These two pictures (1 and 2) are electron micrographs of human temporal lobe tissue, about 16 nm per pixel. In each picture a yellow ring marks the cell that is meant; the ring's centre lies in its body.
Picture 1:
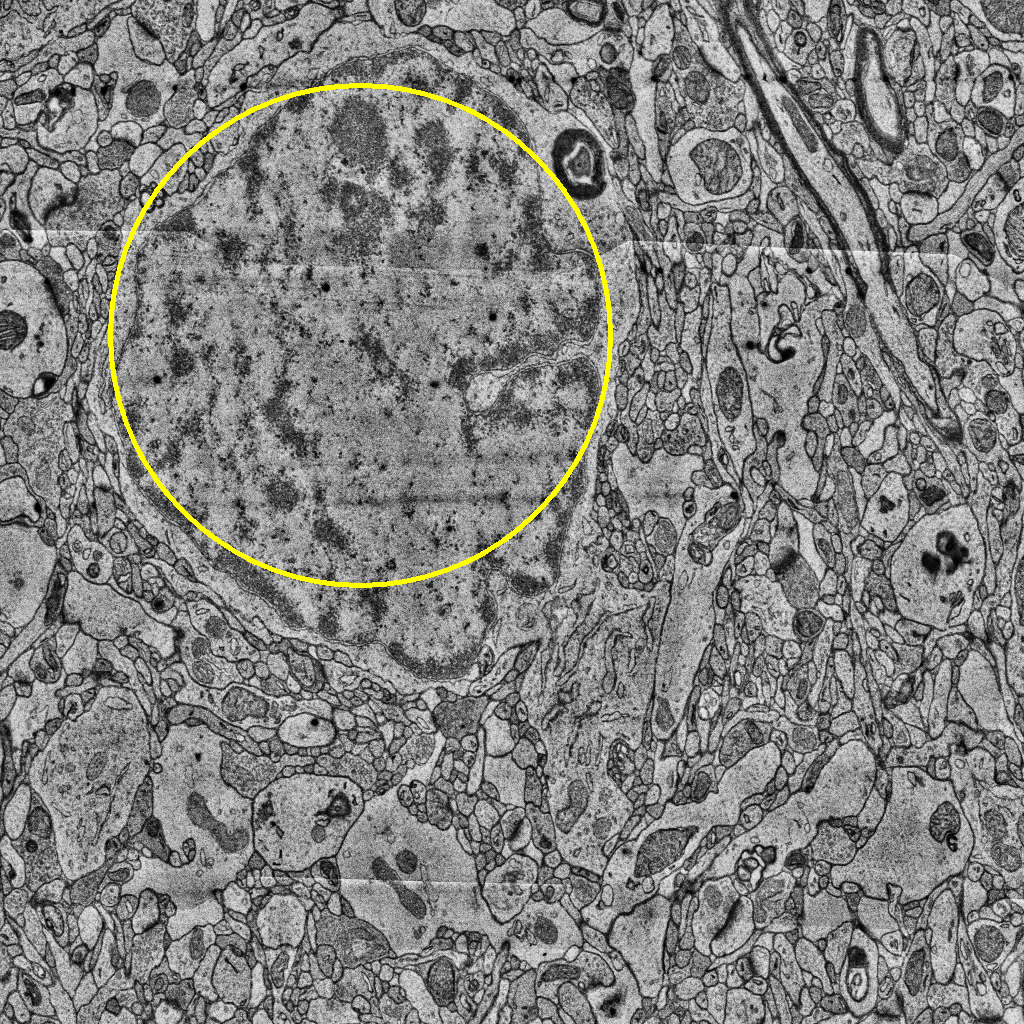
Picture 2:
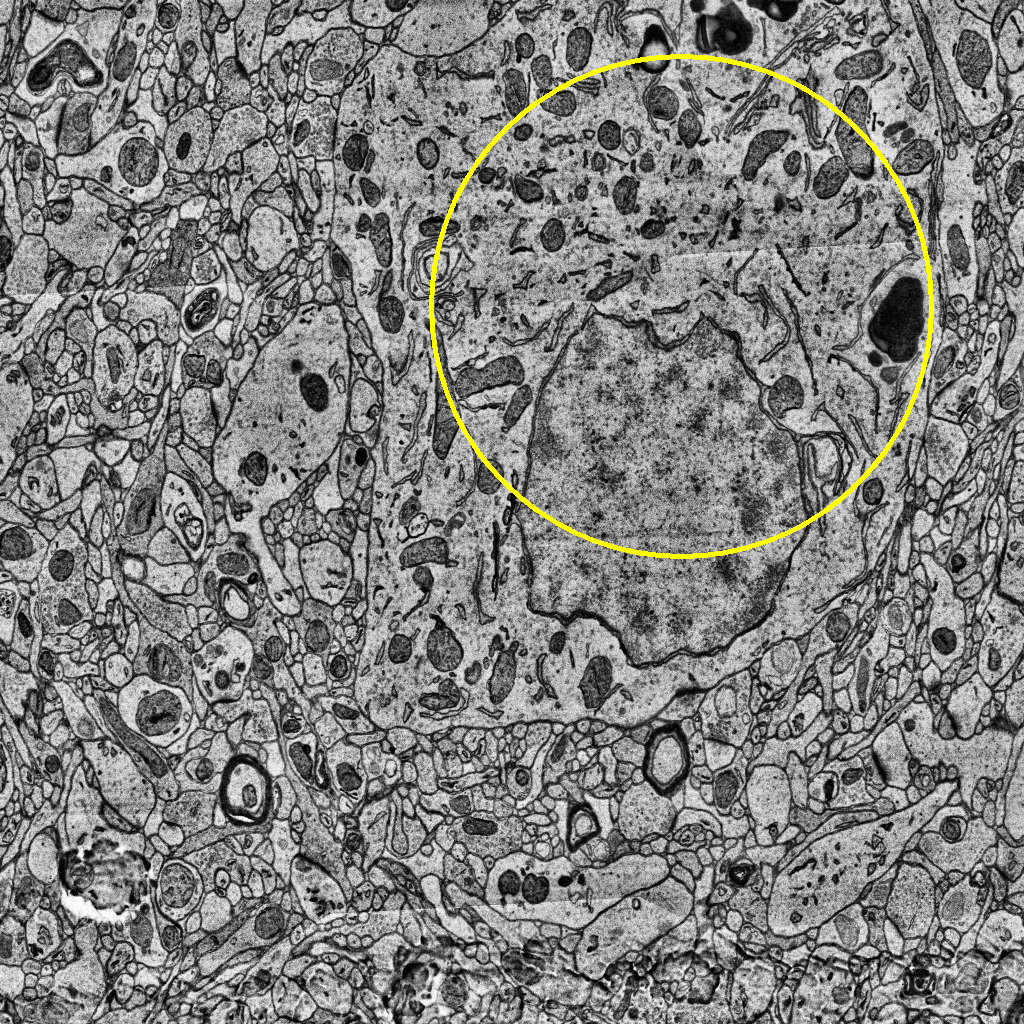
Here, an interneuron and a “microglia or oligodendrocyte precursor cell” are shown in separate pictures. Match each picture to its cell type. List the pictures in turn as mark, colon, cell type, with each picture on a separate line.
1: microglia or oligodendrocyte precursor cell
2: interneuron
